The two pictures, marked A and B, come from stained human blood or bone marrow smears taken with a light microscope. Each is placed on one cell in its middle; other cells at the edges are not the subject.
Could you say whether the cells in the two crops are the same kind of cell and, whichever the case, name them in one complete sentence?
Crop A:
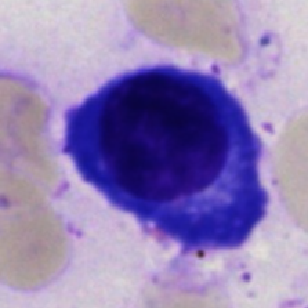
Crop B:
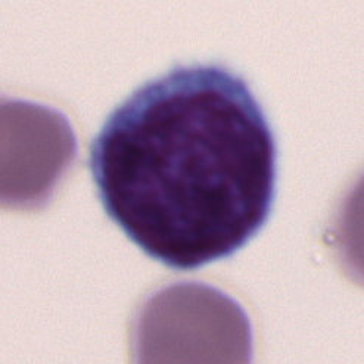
No, a lymphocyte is in crop B, and a plasma cell is in crop A.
